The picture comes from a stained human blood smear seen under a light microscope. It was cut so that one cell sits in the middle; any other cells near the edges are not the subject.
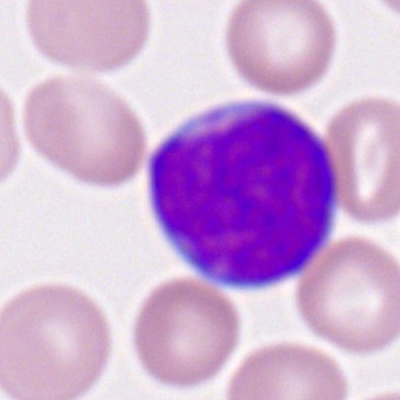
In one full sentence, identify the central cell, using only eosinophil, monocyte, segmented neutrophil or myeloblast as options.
The cell in the middle of this crop is a myeloblast.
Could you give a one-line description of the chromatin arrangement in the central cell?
Take a look at the chromatin, which is coarsely clumped.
